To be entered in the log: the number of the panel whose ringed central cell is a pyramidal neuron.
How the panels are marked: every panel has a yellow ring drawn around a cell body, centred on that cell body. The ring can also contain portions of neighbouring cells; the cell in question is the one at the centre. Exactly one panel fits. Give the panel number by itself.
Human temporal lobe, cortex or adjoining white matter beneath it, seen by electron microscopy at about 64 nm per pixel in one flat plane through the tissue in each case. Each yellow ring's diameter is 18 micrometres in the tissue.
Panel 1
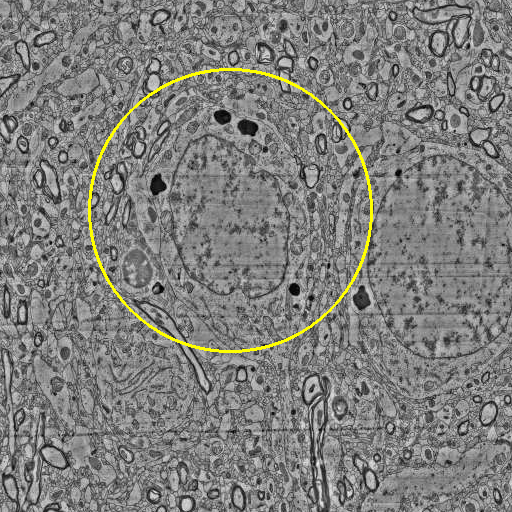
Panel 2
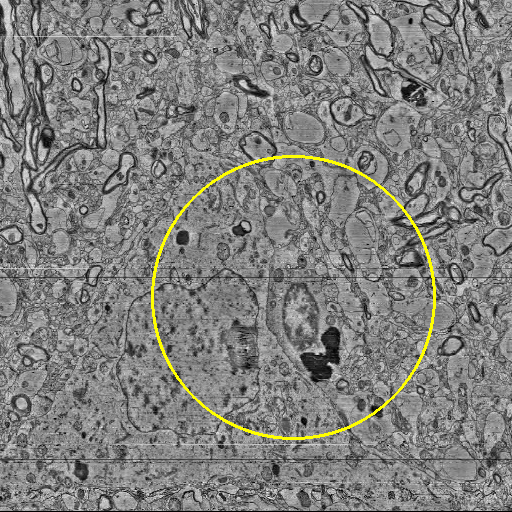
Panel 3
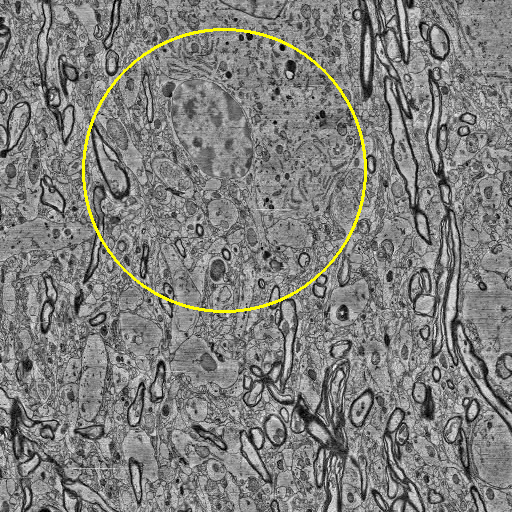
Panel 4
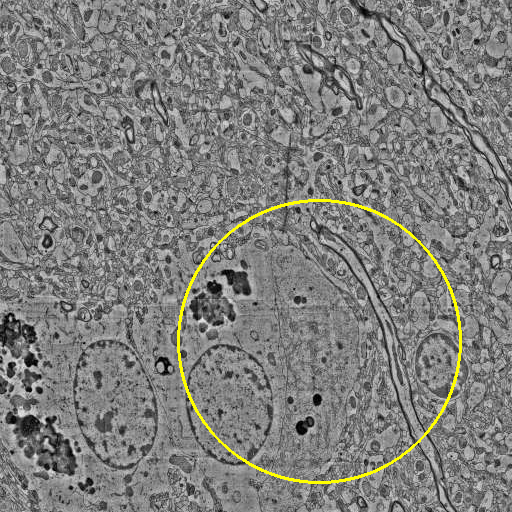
1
